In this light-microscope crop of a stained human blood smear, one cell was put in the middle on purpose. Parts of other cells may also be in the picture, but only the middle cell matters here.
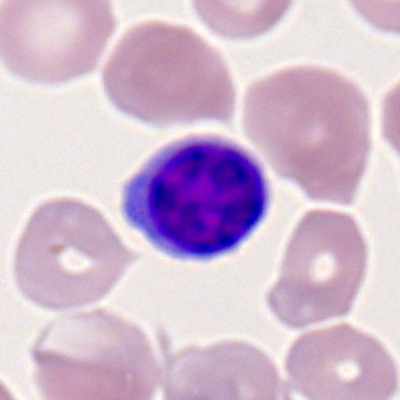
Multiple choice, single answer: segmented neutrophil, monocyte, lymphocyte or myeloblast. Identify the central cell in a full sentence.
The middle cell in this particular crop is a lymphocyte.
